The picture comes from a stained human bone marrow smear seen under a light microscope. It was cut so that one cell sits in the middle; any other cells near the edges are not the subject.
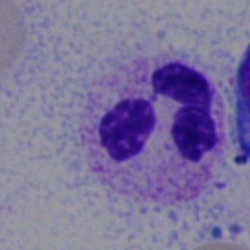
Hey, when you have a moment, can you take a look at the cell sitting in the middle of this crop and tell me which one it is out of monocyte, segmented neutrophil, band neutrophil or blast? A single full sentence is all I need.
The middle cell in this particular crop is a segmented neutrophil.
